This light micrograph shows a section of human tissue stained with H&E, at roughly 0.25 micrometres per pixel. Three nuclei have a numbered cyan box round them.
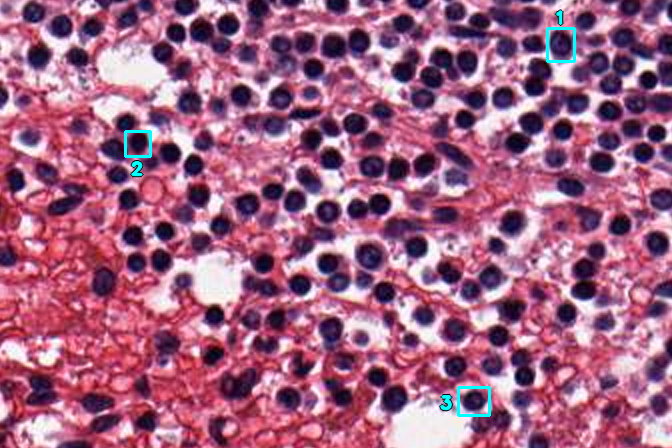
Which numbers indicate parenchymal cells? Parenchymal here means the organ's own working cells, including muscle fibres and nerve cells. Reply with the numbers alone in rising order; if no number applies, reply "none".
none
